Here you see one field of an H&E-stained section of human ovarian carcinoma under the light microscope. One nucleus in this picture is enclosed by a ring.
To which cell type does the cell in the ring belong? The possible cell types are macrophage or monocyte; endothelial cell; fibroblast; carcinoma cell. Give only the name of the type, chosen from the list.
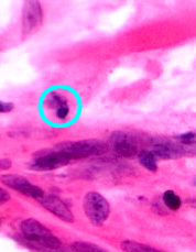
macrophage or monocyte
